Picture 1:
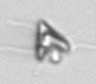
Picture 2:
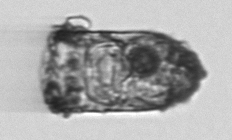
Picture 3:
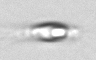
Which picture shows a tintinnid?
Picture 2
